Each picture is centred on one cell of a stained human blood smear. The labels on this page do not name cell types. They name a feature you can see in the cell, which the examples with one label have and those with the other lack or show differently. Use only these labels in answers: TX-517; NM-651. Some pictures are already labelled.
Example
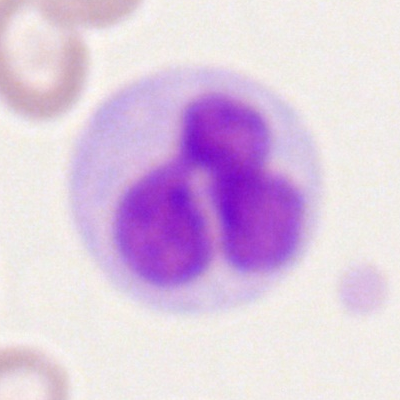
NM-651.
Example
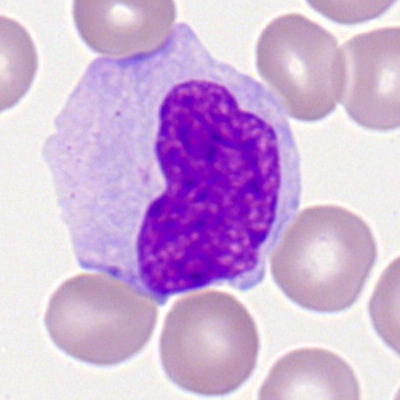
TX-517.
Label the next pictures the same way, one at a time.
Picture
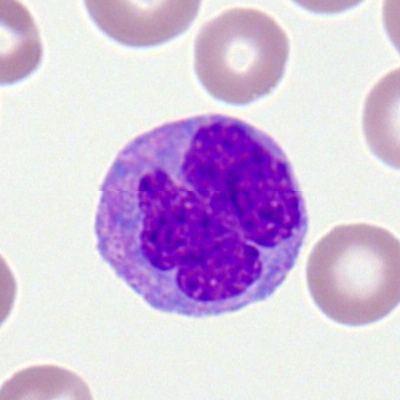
NM-651.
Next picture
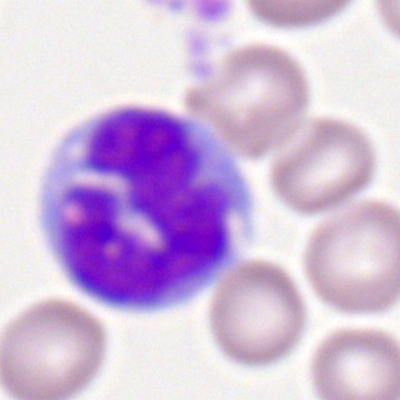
NM-651.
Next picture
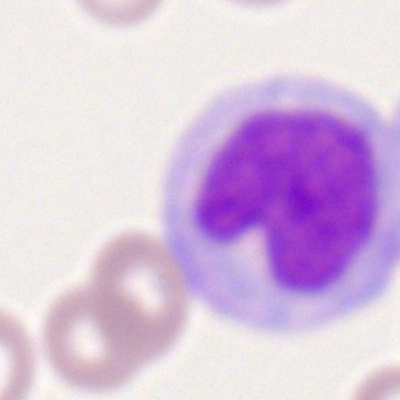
TX-517.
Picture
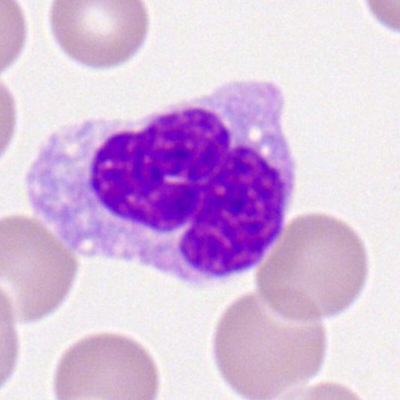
NM-651.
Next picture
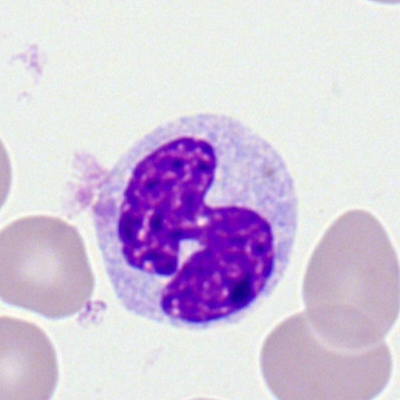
NM-651.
